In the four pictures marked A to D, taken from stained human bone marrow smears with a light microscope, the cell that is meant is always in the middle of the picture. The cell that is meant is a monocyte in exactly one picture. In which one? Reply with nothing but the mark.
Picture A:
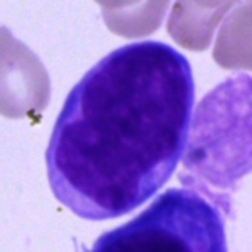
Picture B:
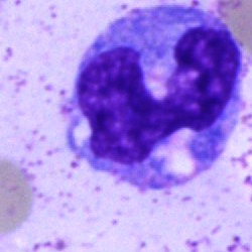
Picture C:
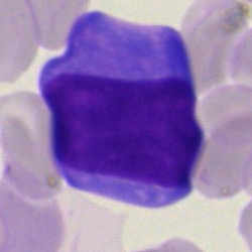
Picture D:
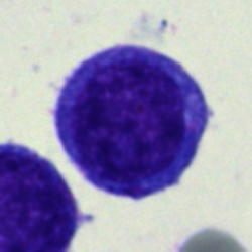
B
